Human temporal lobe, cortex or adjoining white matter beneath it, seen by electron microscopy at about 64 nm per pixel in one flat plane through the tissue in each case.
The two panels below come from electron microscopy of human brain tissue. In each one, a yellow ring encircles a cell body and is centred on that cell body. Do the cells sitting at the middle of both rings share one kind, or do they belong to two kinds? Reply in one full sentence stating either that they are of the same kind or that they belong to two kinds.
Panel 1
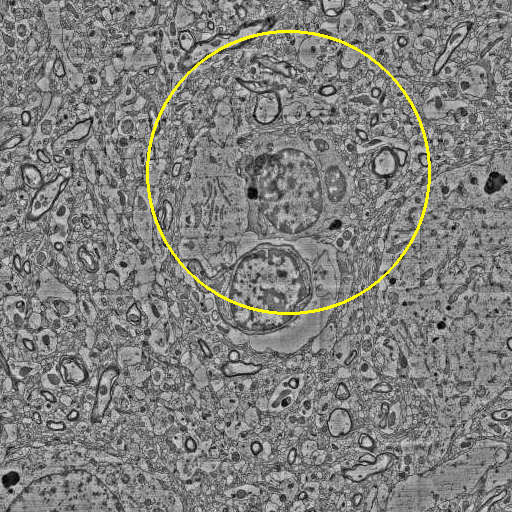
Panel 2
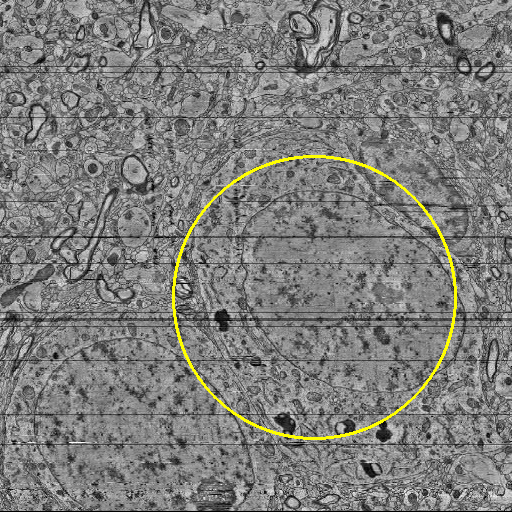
The cells at the centres of the two rings belong to two kinds.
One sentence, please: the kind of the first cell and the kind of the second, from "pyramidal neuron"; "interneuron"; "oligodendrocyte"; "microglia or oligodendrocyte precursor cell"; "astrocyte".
The ring in the first picture surrounds an oligodendrocyte, and the ring in the second surrounds a pyramidal neuron.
